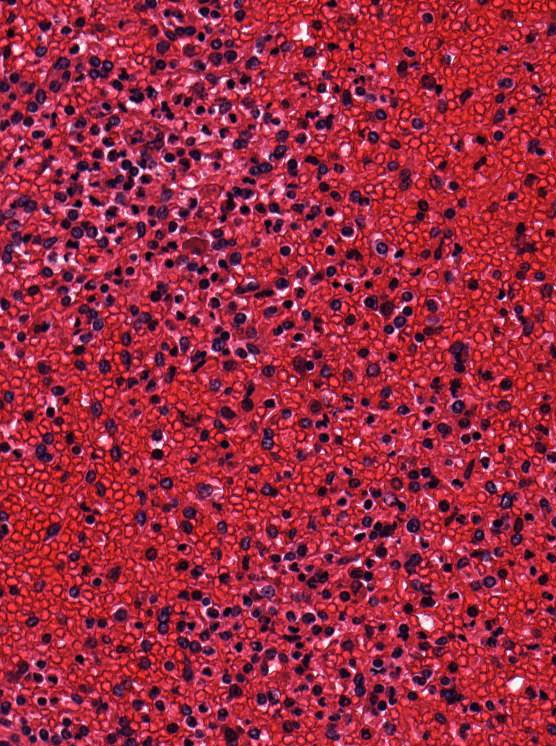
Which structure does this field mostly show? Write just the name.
red pulp of the spleen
